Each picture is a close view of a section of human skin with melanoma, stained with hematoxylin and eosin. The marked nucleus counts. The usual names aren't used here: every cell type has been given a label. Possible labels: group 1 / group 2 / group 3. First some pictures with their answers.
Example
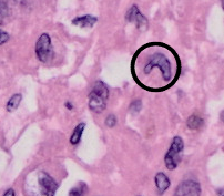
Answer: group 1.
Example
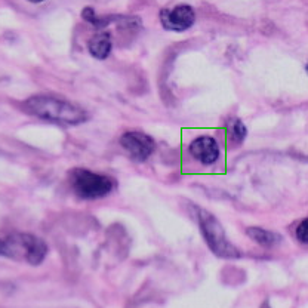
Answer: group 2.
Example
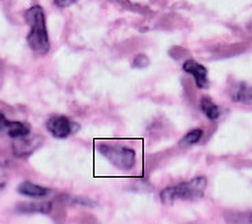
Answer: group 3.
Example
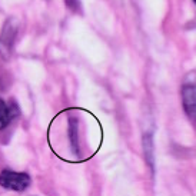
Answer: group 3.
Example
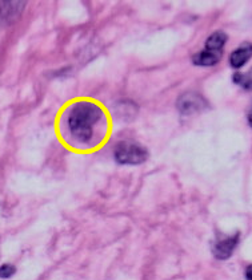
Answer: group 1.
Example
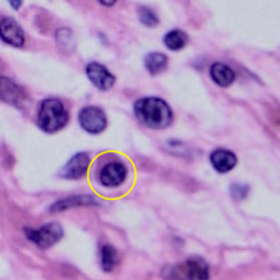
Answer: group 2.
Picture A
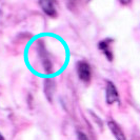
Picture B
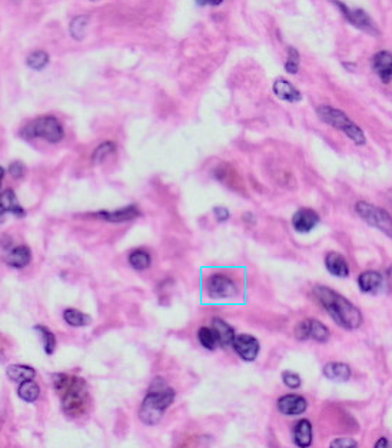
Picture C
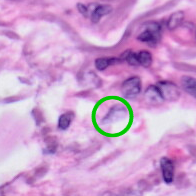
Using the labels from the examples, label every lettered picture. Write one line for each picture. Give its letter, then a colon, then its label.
A: group 3.
B: group 1.
C: group 3.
